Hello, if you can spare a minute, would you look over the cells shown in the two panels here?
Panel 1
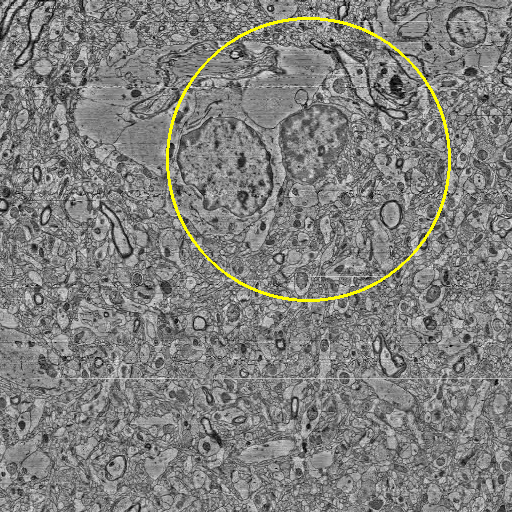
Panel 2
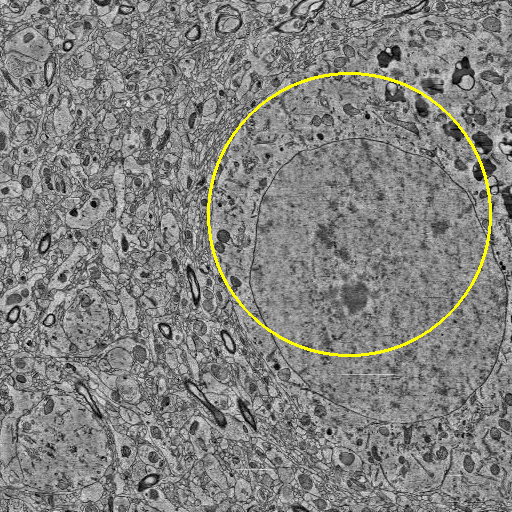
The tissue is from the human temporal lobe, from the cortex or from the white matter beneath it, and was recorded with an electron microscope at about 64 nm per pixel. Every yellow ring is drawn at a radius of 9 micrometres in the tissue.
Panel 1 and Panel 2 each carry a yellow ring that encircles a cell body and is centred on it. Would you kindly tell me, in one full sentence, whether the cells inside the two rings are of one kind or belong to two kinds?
The cells at the centres of the rings in Panel 1 and Panel 2 belong to two kinds.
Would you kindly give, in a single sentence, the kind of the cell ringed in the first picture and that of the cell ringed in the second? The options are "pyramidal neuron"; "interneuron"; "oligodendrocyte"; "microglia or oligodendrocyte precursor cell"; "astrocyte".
The second cell is a pyramidal neuron, and the first cell is an oligodendrocyte.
